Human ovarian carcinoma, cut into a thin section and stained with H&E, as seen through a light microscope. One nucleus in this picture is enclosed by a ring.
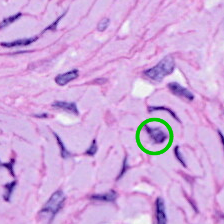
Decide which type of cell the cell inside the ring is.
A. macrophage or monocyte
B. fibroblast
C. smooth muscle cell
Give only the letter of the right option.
B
